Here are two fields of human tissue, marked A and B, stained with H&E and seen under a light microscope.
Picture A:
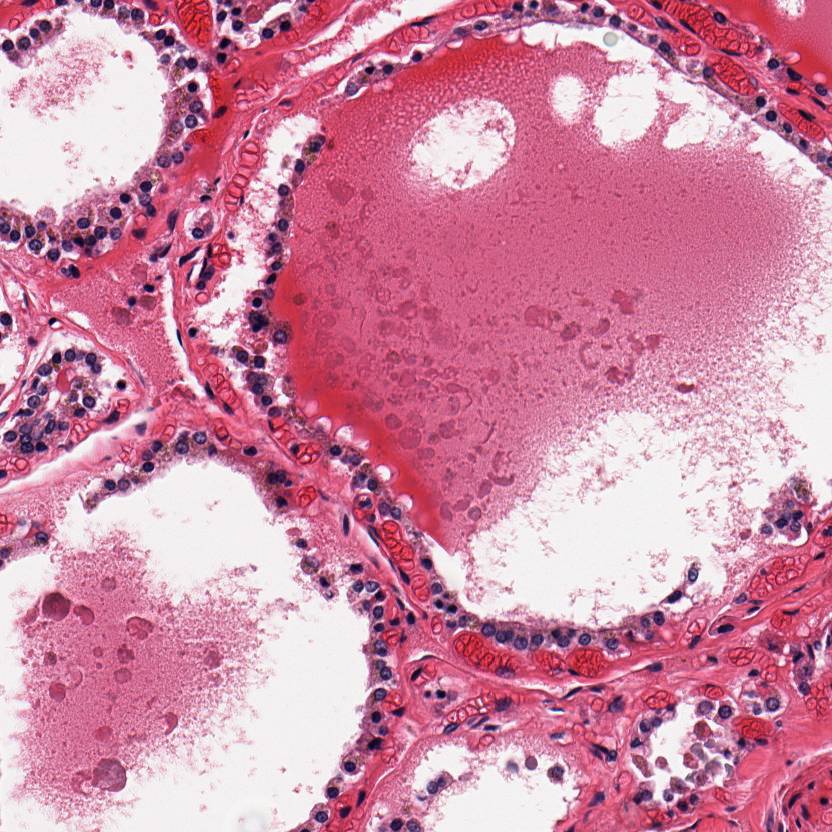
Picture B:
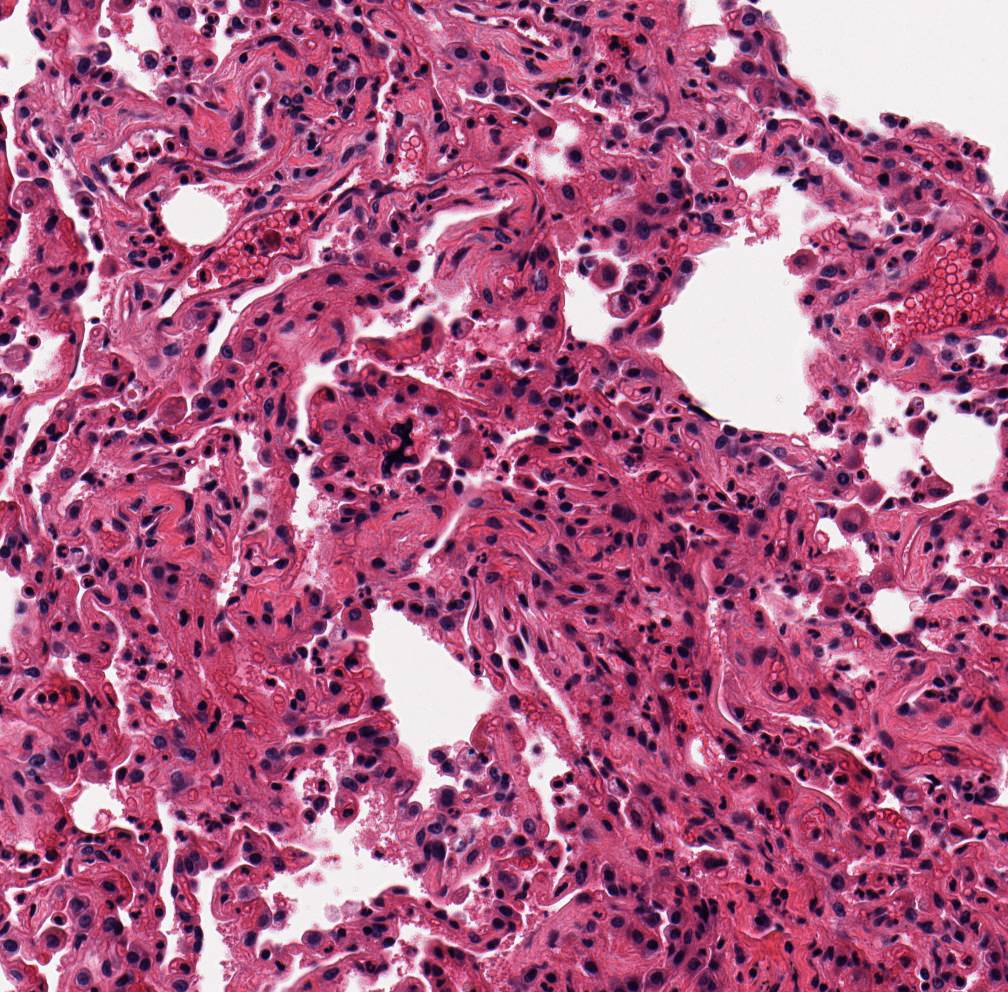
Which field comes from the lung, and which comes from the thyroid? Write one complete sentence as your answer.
Picture A comes from the thyroid and picture B comes from the lung.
